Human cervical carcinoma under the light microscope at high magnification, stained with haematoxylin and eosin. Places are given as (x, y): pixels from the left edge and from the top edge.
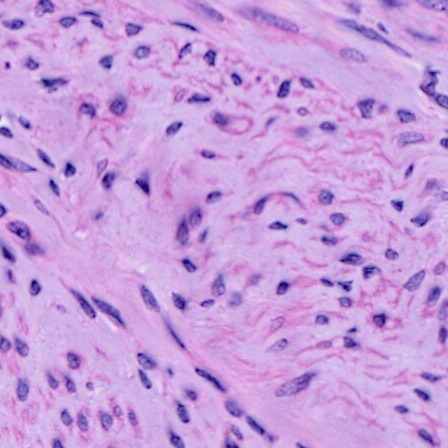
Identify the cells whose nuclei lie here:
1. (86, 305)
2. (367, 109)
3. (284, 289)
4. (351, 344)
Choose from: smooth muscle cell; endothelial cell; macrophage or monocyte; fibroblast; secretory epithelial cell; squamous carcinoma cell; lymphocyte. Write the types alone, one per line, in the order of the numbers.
fibroblast
smooth muscle cell
smooth muscle cell
smooth muscle cell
